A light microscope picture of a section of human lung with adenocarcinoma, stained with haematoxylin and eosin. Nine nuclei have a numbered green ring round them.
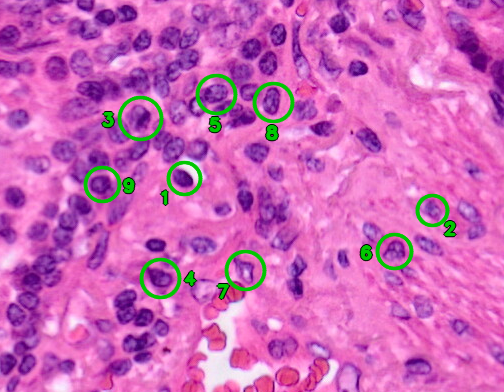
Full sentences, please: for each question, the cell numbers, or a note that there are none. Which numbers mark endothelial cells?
The one cell that is an endothelial cell is cell 7, and no other.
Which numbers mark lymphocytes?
The cells numbered 1, 3, 5, 8 and 9 are of one kind: lymphocytes.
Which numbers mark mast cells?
None but cell 6 among the numbered cells is a mast cell.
